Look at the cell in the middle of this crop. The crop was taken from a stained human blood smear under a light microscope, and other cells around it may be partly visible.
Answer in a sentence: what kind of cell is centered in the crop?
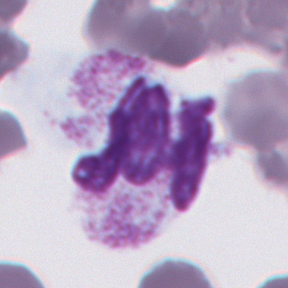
Present in the middle of the crop is a segmented neutrophil.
